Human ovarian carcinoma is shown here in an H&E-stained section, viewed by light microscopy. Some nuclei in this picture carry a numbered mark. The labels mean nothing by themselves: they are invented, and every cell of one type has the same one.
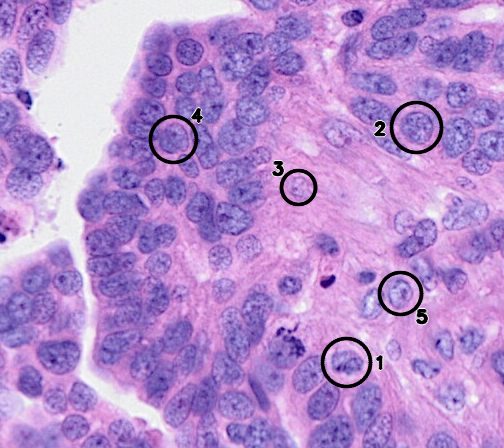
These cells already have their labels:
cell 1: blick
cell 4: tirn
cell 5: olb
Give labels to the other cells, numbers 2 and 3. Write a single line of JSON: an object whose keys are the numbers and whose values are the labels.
{"2": "tirn", "3": "olb"}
